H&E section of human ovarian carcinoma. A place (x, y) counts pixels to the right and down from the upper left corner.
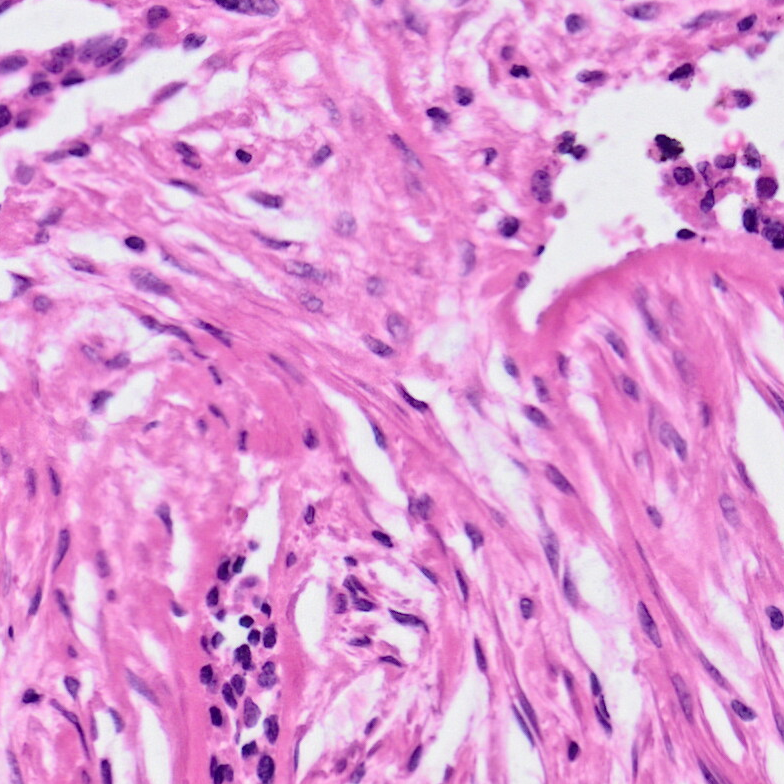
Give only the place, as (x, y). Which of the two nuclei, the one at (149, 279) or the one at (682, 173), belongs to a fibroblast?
(149, 279)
